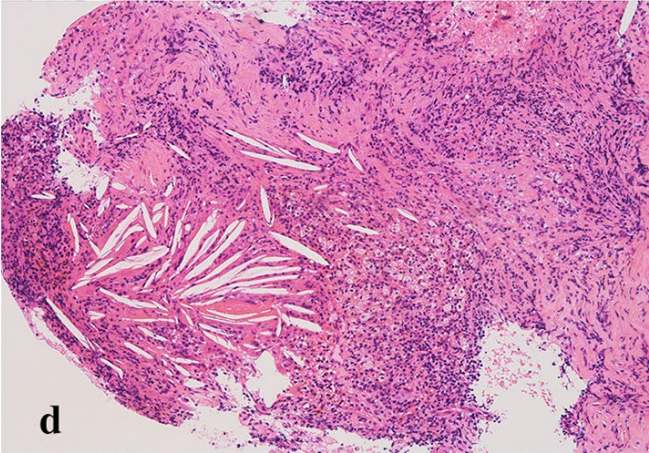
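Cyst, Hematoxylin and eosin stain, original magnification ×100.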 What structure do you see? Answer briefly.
Cholesterin clefts.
